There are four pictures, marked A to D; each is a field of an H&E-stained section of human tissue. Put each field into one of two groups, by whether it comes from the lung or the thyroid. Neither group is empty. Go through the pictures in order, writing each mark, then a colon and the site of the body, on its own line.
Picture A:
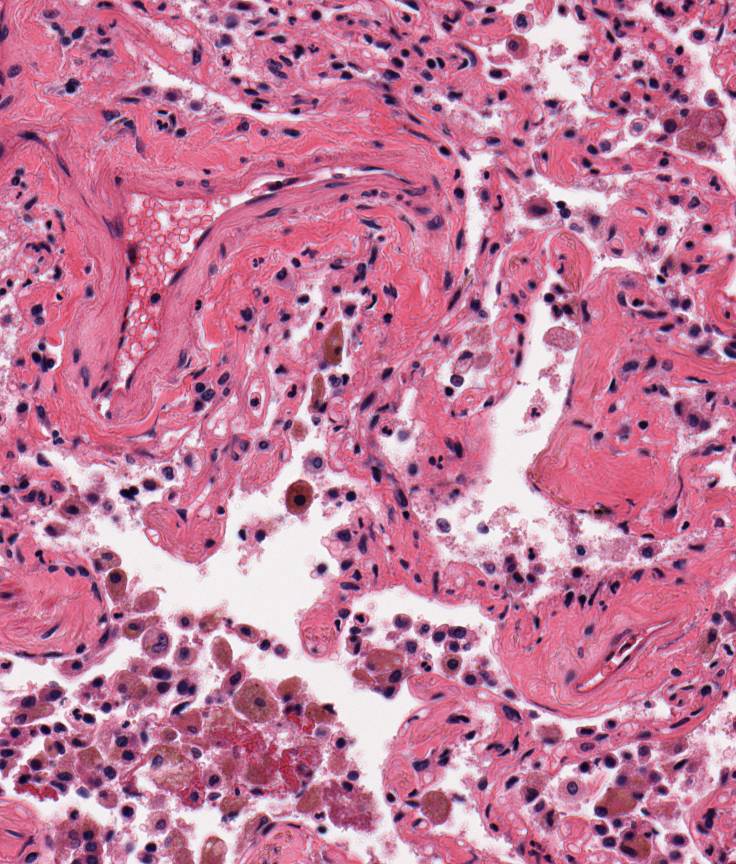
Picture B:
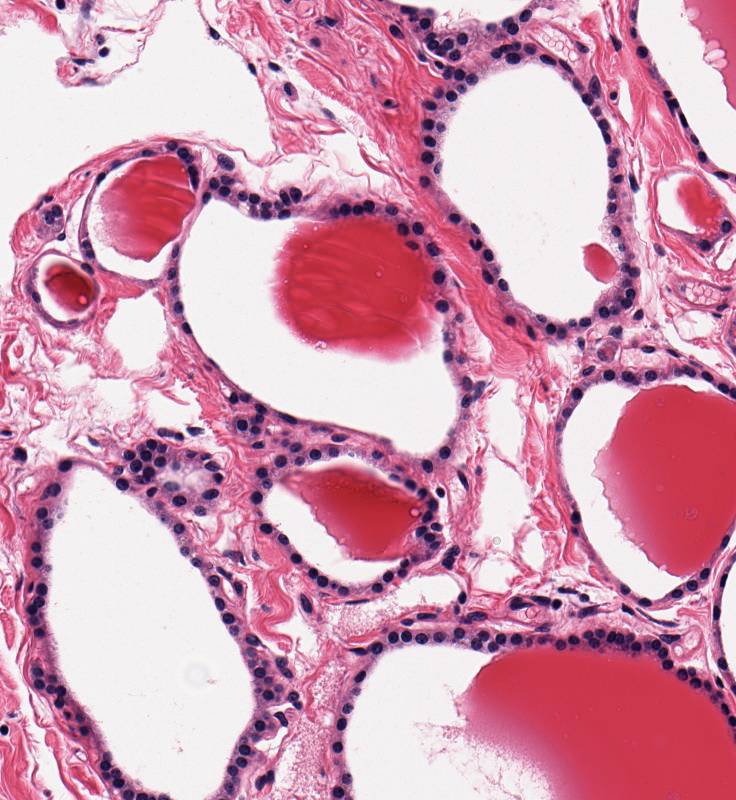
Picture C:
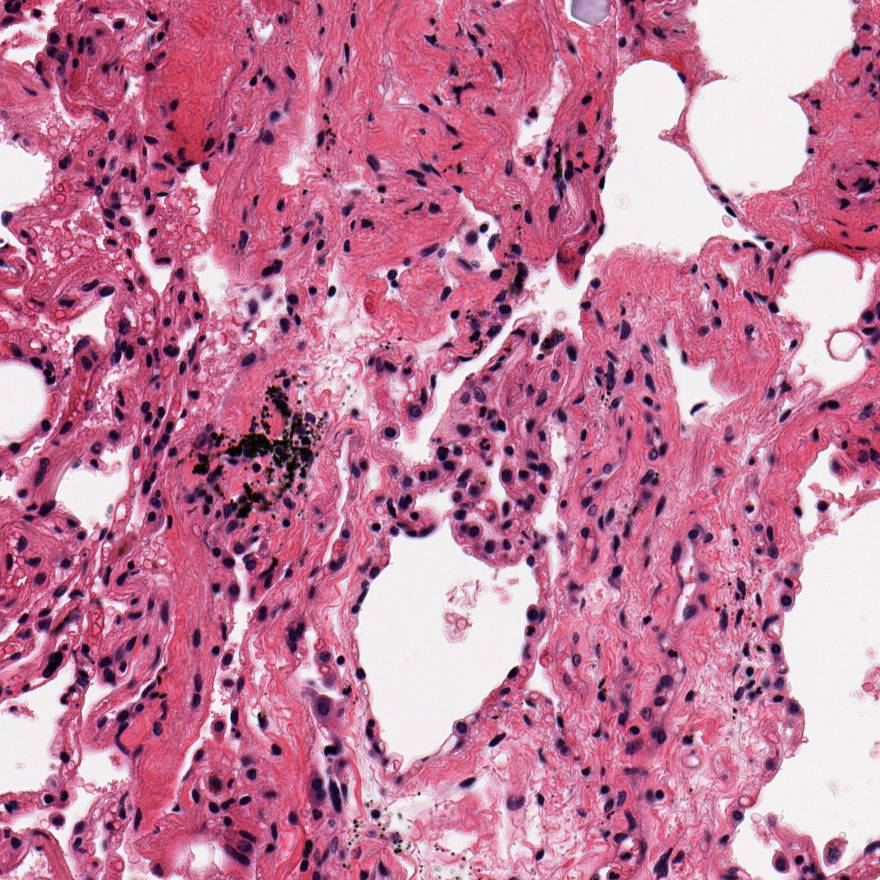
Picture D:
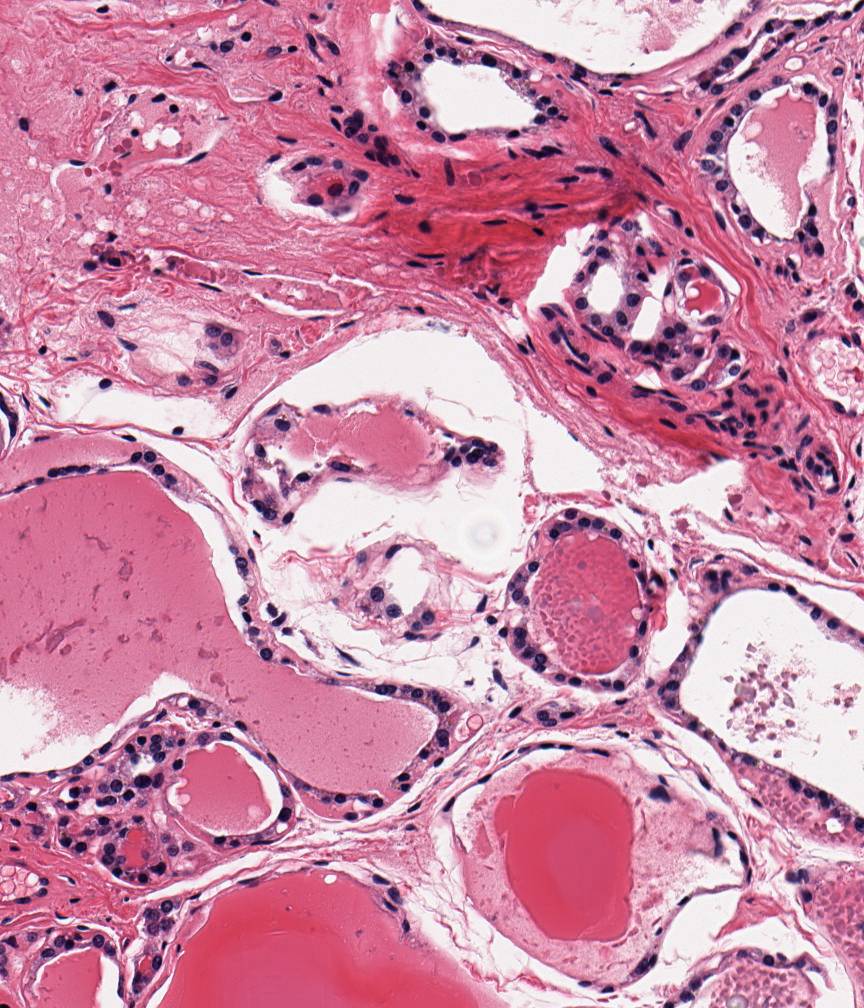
A: lung
B: thyroid
C: lung
D: thyroid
